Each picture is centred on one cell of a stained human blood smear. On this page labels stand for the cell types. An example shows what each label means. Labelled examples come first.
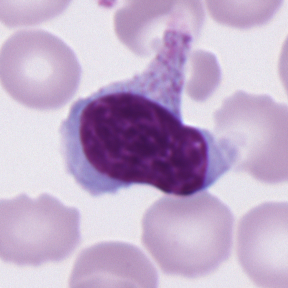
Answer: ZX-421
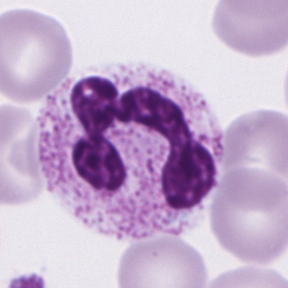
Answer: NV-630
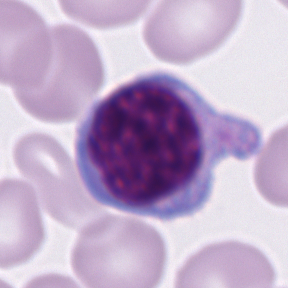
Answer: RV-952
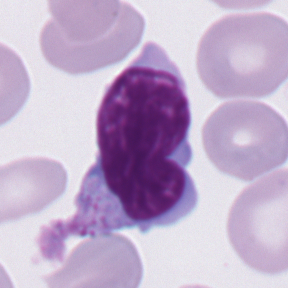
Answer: ZX-421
